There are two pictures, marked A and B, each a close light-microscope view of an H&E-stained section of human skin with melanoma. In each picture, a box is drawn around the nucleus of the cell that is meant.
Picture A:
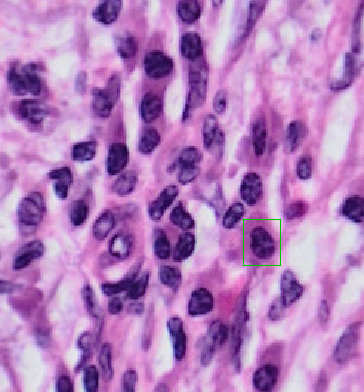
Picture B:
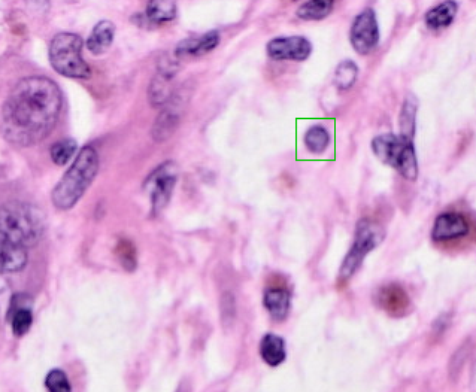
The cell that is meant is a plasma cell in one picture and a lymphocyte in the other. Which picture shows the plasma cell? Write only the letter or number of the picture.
A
